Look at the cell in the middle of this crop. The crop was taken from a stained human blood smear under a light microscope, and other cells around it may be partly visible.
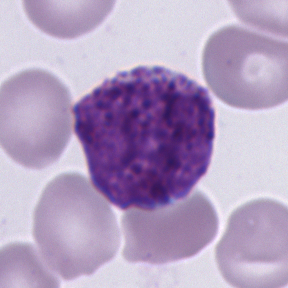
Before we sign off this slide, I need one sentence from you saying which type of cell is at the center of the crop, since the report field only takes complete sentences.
The cell marked by its central position in the crop is a basophil.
